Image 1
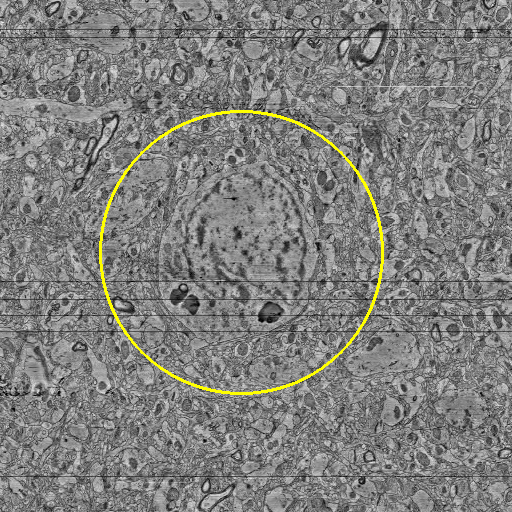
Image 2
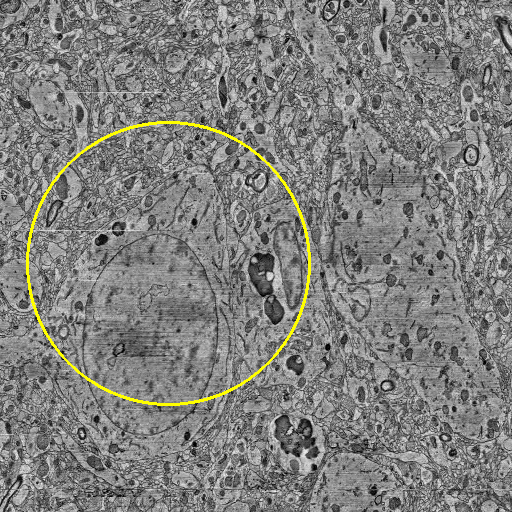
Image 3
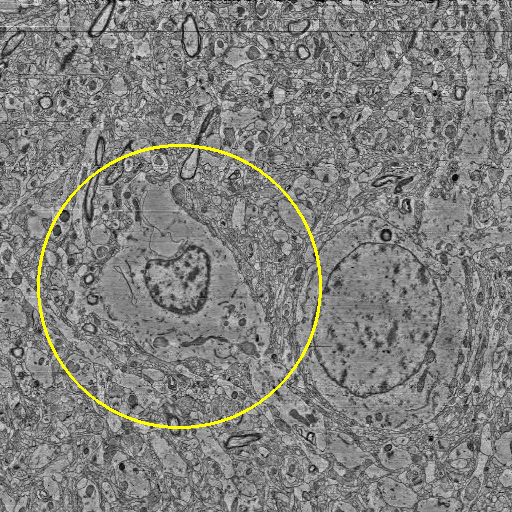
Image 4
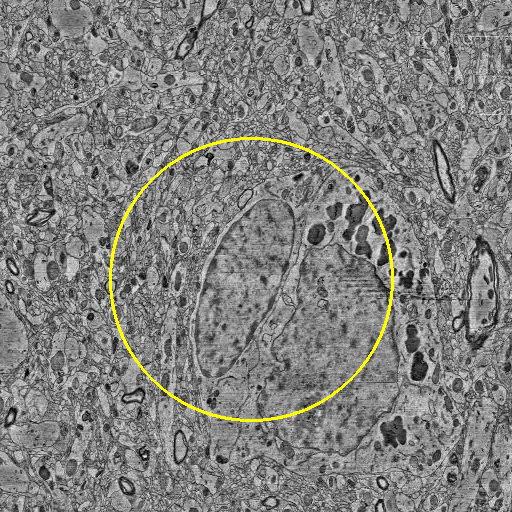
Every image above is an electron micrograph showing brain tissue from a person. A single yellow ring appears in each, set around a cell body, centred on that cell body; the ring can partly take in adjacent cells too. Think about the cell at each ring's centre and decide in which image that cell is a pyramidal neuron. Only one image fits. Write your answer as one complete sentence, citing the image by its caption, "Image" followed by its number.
Image 2 is the one whose ringed central cell fits the description.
